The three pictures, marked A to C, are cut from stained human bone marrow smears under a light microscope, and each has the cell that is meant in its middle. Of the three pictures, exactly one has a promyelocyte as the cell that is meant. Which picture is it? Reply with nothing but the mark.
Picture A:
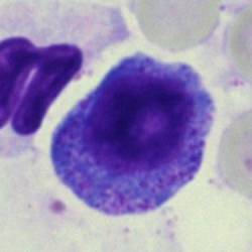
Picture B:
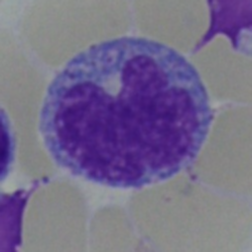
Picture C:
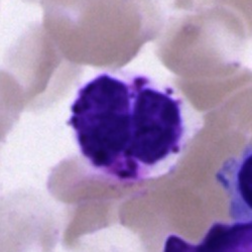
A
